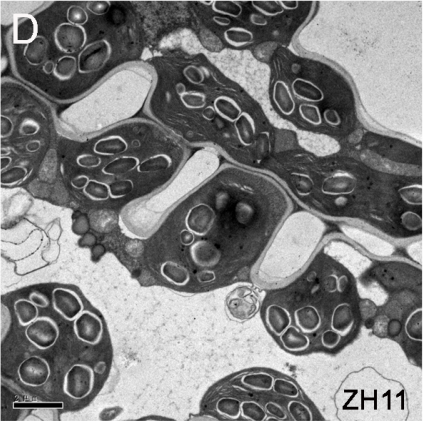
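These are mesophyll cells of a leaf, seen at low magnification. The cells are irregular in outline, separated by thin walls and by pale intercellular spaces. Each cell is filled mostly by dark, rounded chloroplasts lying around its edge. The chloroplasts contain many oval starch granules with pale rims. Pale areas within the cells mark vacuoles.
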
